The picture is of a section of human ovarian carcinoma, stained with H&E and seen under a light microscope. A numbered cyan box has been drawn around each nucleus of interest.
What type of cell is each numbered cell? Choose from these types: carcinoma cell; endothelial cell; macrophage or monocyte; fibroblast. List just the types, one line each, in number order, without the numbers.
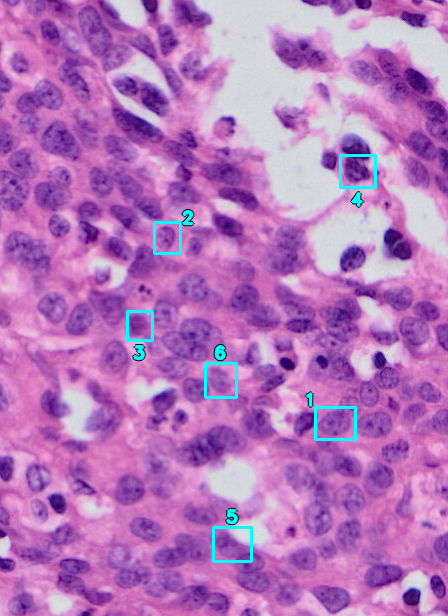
carcinoma cell
macrophage or monocyte
carcinoma cell
macrophage or monocyte
carcinoma cell
carcinoma cell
